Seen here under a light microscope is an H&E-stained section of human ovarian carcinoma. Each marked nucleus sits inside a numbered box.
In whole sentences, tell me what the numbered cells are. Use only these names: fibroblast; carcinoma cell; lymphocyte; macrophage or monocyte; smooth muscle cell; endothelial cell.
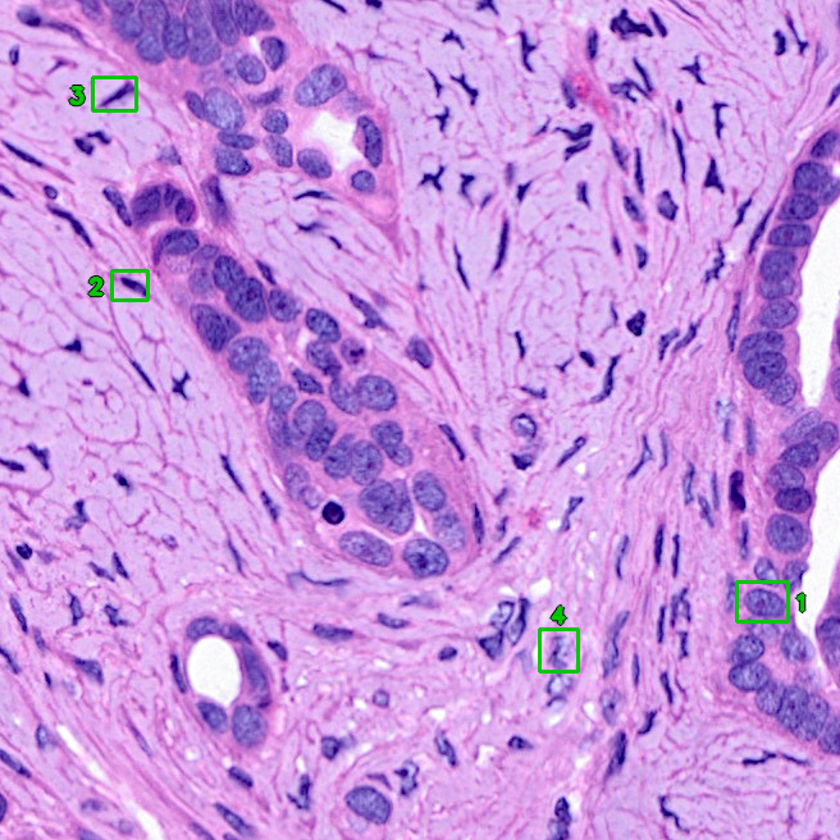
Cell 1 is a carcinoma cell, cell 2 is a fibroblast, cell 3 is a fibroblast and cell 4 is a fibroblast.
